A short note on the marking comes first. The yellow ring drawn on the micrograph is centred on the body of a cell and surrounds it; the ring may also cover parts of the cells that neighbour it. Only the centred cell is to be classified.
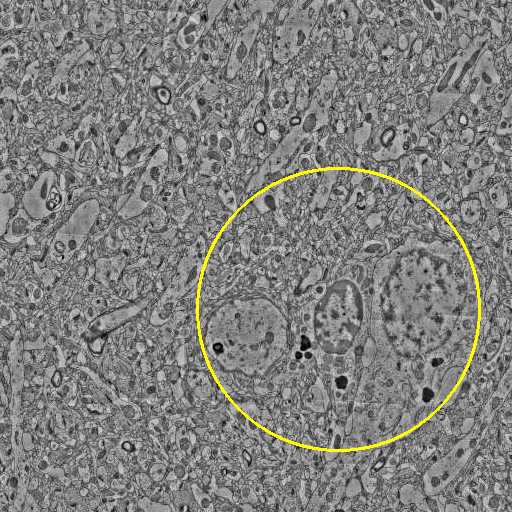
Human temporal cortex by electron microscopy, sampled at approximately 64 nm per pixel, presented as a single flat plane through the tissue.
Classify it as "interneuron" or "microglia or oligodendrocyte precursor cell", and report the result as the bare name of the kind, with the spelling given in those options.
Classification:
microglia or oligodendrocyte precursor cell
